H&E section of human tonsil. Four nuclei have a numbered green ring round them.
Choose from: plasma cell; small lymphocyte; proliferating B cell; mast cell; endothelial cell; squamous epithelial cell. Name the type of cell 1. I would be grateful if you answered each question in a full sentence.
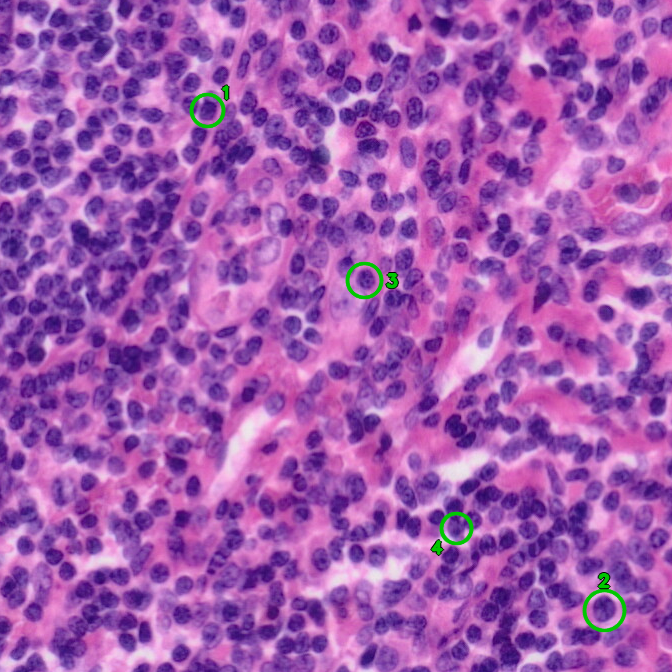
Classified as a small lymphocyte is the cell with the number 1.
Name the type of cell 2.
The cell that carries the label 2 is a proliferating B cell.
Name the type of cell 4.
The marked cell with the number 4 is recognised as a small lymphocyte.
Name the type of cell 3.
The cell assigned the number 3 is an endothelial cell.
